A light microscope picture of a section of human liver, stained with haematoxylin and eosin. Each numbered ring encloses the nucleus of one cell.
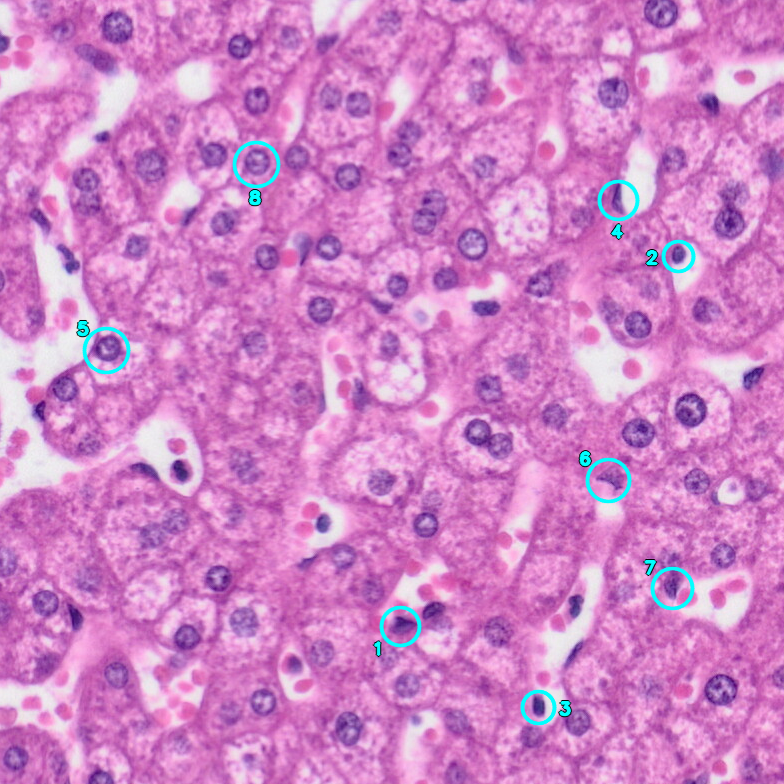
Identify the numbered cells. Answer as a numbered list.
1. endothelial cell
2. lymphocyte
3. lymphocyte
4. endothelial cell
5. hepatocyte
6. endothelial cell
7. endothelial cell
8. hepatocyte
